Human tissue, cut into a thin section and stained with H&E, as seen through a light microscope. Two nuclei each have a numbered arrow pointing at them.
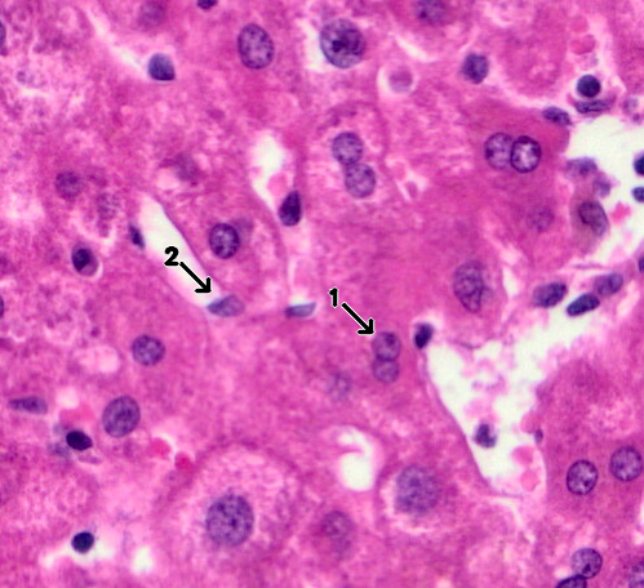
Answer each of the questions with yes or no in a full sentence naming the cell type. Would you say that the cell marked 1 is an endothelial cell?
No, the nucleus numbered 1 belongs to a hepatocyte, not an endothelial cell.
